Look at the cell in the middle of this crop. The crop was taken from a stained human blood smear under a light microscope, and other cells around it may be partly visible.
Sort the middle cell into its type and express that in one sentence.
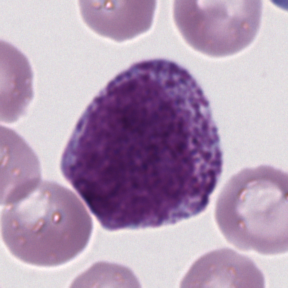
The central element of this crop is a cell, namely a myelocyte.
